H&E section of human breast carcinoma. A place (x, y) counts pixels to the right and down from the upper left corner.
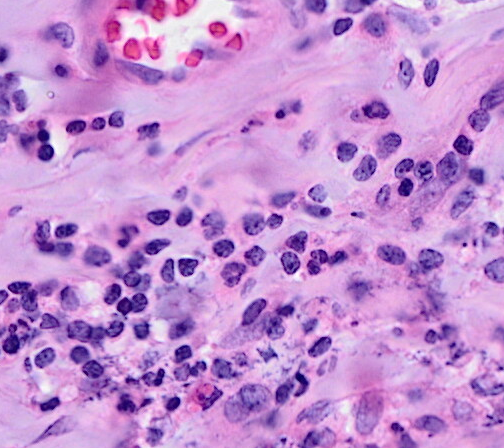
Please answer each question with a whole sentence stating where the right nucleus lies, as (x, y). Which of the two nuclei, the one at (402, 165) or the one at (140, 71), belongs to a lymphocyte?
The nucleus at (402, 165) is assigned to a lymphocyte.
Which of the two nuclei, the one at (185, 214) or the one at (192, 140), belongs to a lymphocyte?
The one at (185, 214) is the nucleus belonging to a lymphocyte, not the other one.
